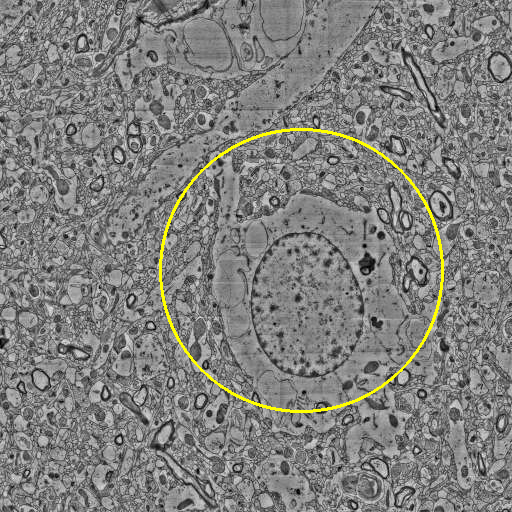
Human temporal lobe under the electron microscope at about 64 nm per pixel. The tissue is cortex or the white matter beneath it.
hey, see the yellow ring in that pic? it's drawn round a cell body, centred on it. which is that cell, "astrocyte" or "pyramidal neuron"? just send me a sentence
The cell in the ring is an astrocyte.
